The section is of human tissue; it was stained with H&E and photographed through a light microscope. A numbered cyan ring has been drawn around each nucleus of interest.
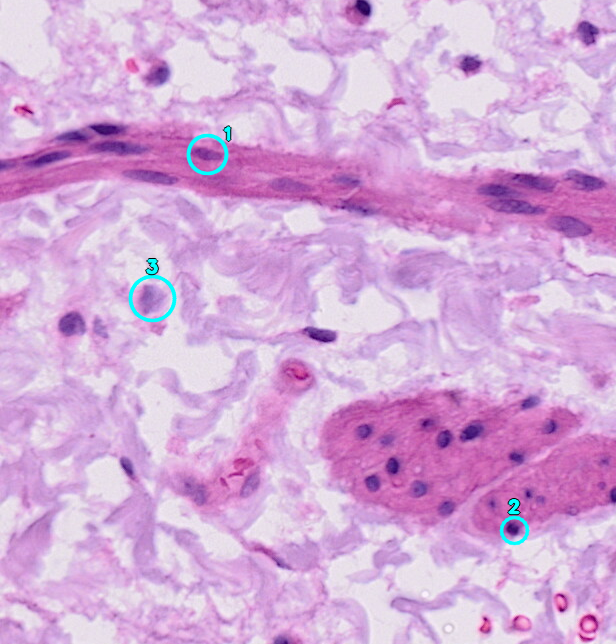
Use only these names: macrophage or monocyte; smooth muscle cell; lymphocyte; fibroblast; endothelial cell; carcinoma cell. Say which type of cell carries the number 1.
smooth muscle cell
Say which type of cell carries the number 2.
smooth muscle cell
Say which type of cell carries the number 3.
fibroblast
